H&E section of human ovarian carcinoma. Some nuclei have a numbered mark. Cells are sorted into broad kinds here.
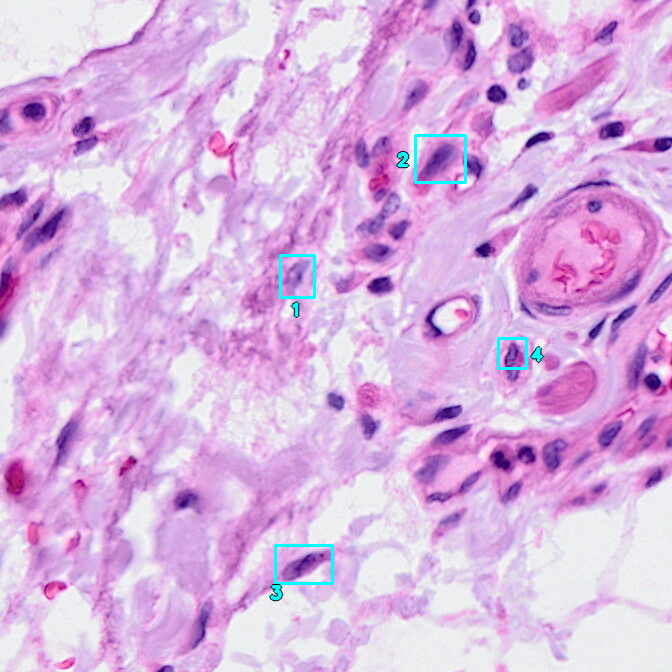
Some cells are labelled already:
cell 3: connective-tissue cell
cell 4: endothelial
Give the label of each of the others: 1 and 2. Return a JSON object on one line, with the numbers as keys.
{"1": "connective-tissue cell", "2": "endothelial"}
